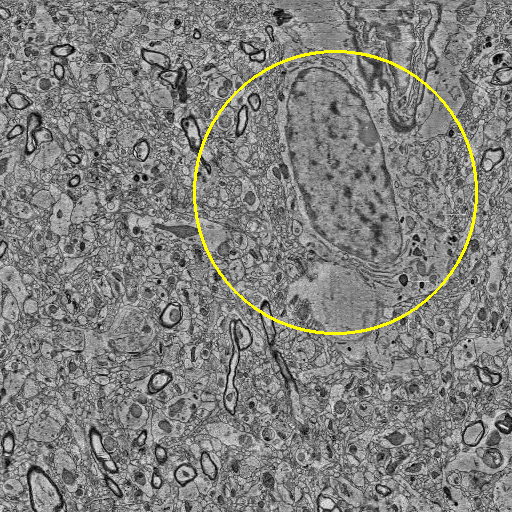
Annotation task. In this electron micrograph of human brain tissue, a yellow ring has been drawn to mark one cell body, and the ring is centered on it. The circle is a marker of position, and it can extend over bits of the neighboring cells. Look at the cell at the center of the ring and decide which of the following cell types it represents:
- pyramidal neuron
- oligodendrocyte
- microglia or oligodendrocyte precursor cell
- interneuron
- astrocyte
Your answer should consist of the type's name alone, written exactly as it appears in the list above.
microglia or oligodendrocyte precursor cell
